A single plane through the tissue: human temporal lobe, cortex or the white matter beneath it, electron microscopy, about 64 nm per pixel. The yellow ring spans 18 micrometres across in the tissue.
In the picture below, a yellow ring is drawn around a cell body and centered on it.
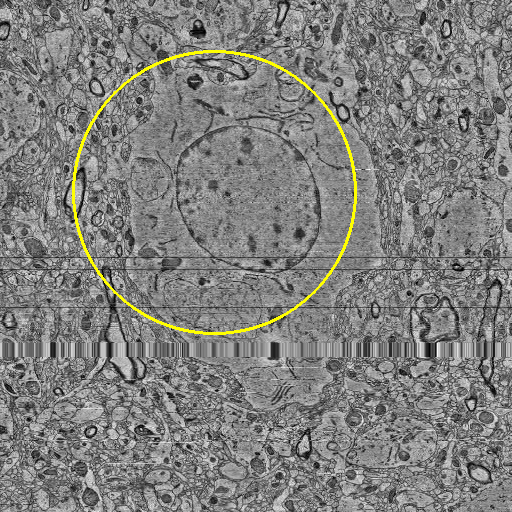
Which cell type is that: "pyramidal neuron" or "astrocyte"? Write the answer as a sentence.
The cell centered in the ring is an astrocyte.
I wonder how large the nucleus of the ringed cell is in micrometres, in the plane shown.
Roughly 10 by 9 micrometres in this plane, for the nucleus of the ringed cell.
